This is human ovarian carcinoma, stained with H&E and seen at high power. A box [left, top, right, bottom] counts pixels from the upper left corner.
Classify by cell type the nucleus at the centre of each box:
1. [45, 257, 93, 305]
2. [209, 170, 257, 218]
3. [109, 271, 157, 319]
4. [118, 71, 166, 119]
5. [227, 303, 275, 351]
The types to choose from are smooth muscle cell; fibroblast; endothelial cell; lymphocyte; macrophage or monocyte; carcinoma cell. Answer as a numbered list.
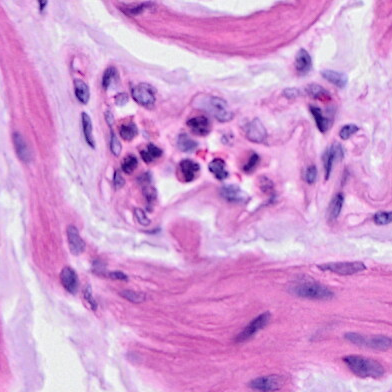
1. smooth muscle cell
2. endothelial cell
3. smooth muscle cell
4. endothelial cell
5. smooth muscle cell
